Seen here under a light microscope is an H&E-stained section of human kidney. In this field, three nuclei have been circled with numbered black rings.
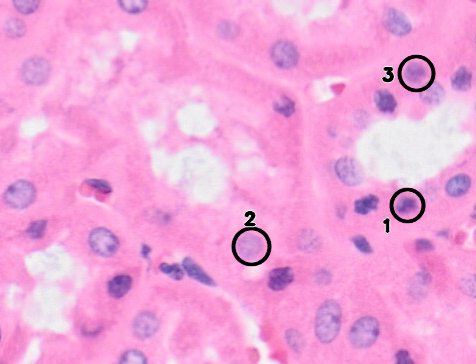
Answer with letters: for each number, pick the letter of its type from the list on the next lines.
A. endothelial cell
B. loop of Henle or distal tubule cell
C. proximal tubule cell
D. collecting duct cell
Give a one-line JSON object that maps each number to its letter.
{"1": "B", "2": "C", "3": "B"}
